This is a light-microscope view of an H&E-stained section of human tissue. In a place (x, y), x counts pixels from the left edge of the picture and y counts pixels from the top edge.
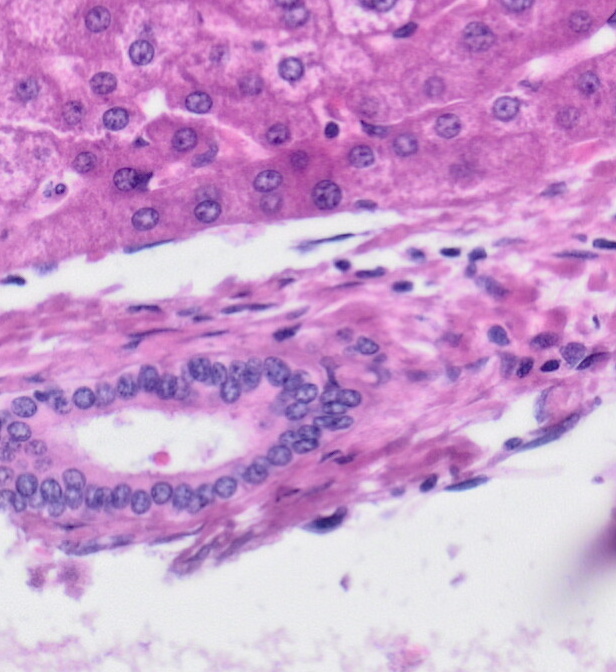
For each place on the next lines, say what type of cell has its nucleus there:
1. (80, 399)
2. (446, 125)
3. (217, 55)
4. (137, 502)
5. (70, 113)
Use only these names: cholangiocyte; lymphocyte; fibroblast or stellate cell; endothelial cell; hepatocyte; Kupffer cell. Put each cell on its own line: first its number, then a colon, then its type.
1: cholangiocyte
2: hepatocyte
3: hepatocyte
4: cholangiocyte
5: hepatocyte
